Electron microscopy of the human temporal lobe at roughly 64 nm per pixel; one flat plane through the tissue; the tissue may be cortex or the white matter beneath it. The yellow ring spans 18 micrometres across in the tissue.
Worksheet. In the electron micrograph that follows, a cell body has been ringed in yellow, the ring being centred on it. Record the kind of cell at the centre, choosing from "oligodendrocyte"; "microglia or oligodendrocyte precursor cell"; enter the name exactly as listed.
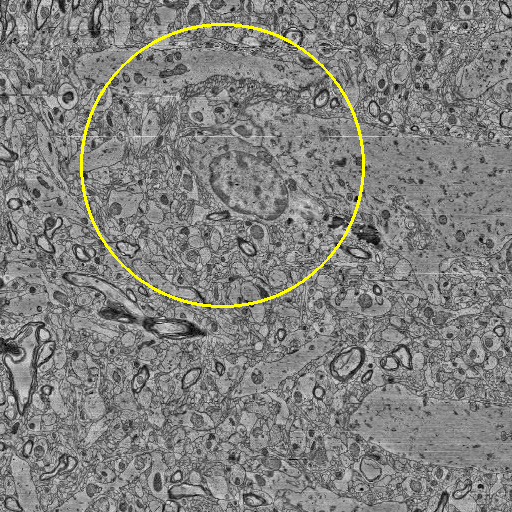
oligodendrocyte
